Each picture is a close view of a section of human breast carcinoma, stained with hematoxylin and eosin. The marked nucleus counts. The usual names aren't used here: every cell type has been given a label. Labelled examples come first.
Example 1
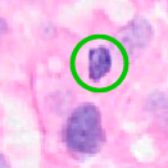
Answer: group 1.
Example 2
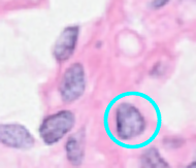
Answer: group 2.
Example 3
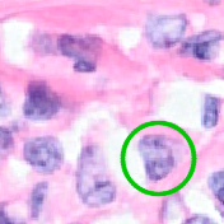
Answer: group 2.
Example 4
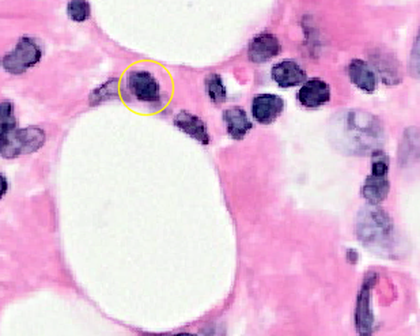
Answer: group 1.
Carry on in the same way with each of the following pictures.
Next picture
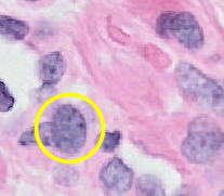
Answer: group 2.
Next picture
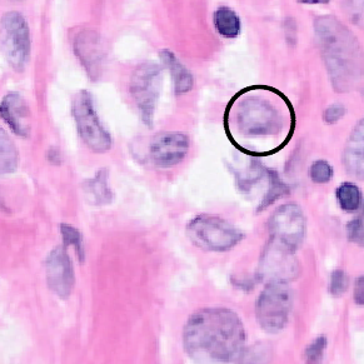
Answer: group 2.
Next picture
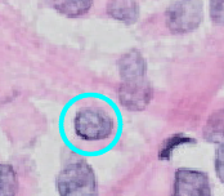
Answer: group 2.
